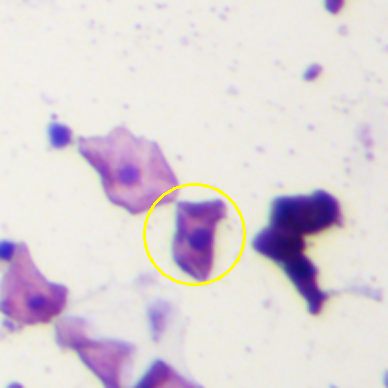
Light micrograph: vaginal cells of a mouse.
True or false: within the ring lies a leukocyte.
False: a nucleated epithelial cell lies within the ring.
